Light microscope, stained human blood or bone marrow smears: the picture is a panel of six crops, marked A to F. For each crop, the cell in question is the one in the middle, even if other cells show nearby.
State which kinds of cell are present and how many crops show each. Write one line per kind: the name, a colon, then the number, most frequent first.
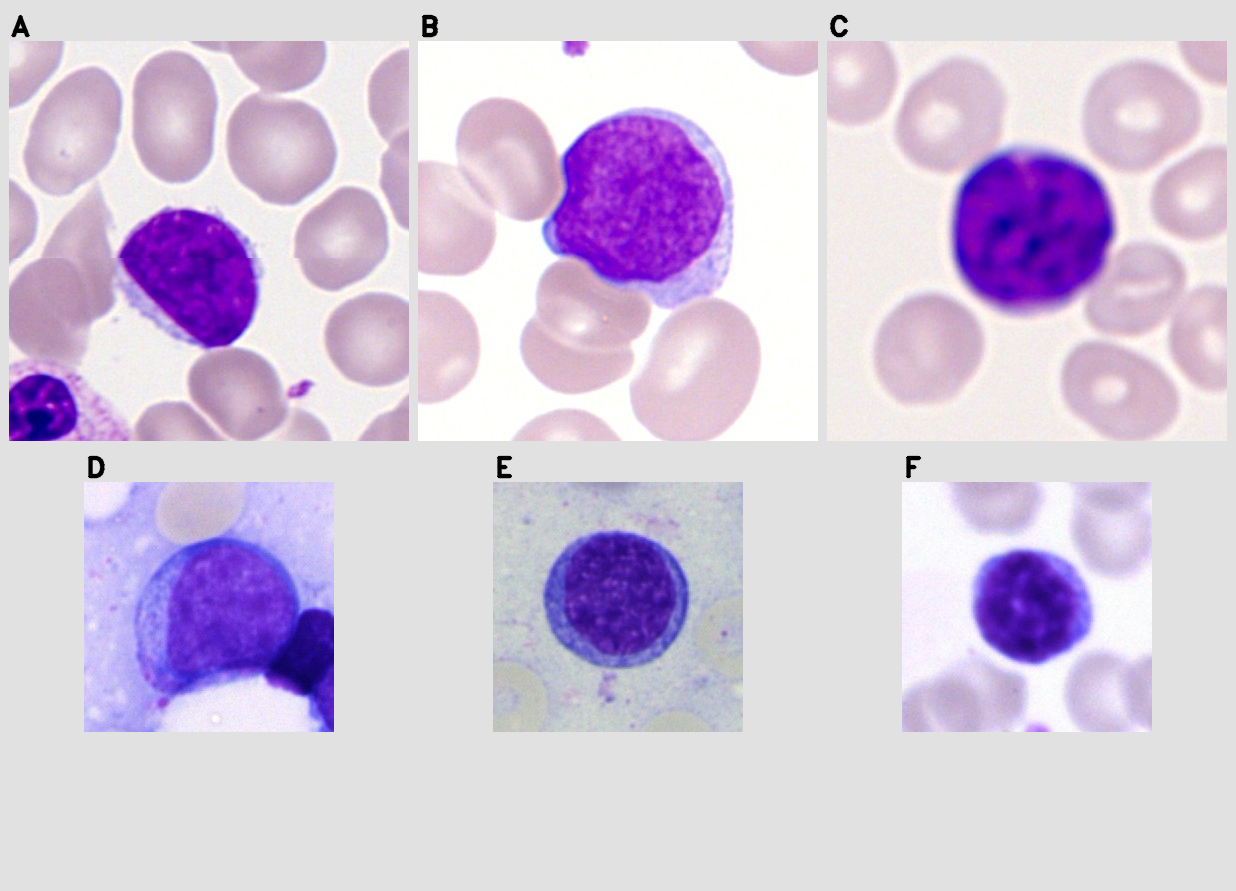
blast: 4
lymphocyte: 2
